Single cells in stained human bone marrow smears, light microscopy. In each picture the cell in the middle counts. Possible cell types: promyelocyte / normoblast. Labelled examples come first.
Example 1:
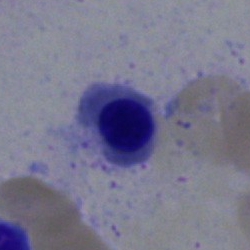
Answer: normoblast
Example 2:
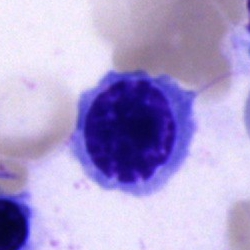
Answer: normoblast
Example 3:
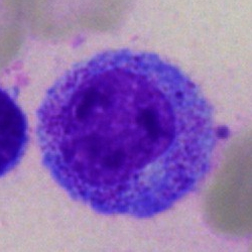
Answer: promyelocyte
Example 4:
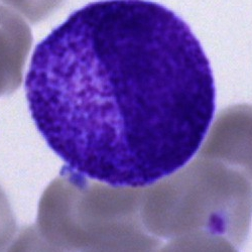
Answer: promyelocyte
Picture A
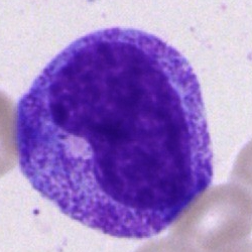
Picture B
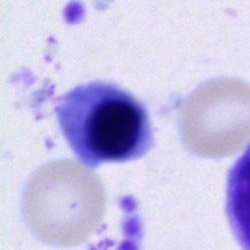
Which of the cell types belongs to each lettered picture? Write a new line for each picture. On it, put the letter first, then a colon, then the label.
A: promyelocyte
B: normoblast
